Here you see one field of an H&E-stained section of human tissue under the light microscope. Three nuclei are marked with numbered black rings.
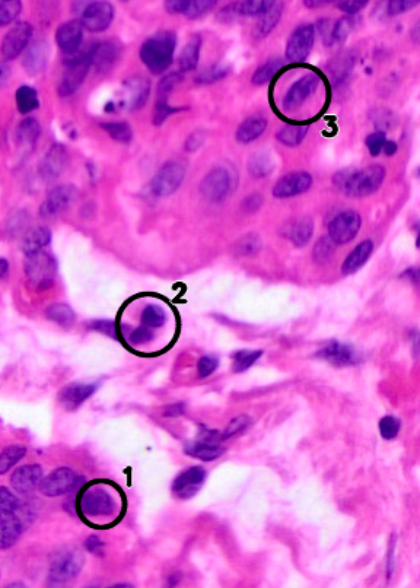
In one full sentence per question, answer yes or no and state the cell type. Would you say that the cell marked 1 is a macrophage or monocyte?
No; cell 1 is a carcinoma cell, not a macrophage or monocyte.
